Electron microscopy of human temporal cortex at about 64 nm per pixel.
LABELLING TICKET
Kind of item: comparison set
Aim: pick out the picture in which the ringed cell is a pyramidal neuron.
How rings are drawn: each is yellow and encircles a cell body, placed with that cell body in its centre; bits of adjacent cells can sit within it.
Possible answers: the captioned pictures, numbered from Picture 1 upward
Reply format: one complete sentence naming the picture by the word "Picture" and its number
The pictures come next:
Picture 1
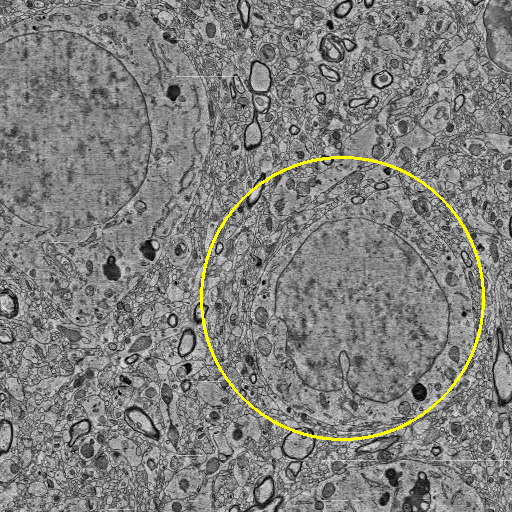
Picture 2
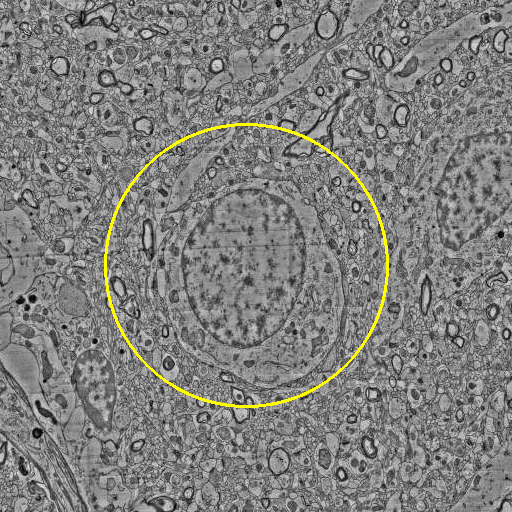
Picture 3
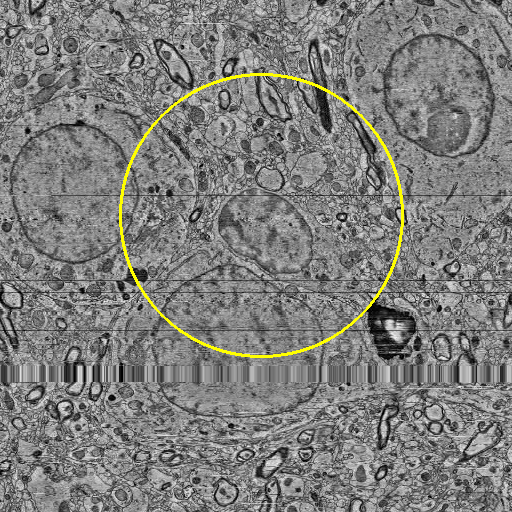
The cell centred inside the yellow ring in Picture 1 is the requested one.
